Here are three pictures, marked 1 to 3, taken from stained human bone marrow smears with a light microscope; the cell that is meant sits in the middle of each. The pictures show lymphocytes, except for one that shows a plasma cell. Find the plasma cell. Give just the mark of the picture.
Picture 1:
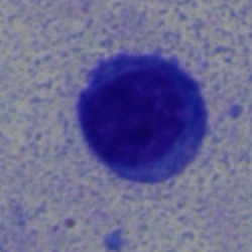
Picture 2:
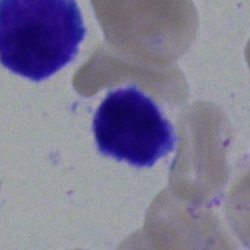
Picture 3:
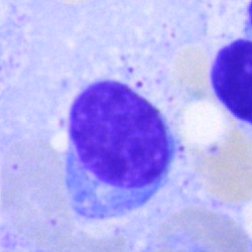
1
